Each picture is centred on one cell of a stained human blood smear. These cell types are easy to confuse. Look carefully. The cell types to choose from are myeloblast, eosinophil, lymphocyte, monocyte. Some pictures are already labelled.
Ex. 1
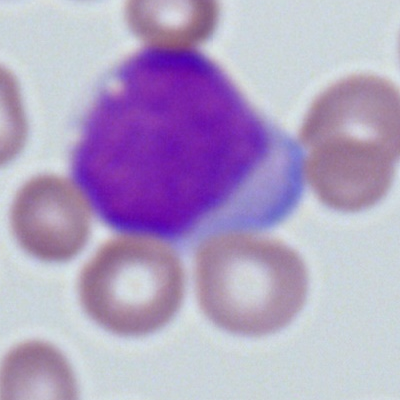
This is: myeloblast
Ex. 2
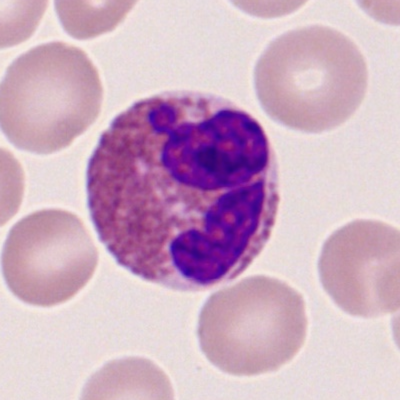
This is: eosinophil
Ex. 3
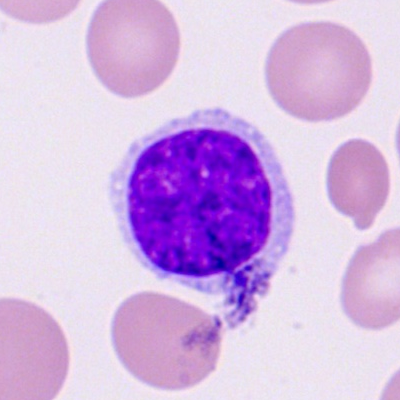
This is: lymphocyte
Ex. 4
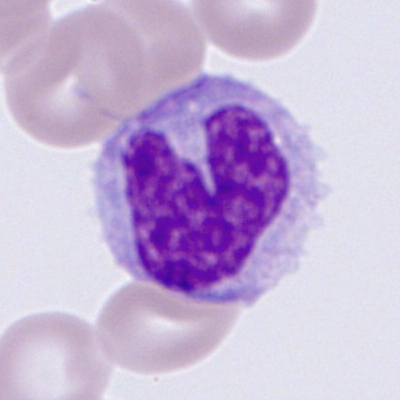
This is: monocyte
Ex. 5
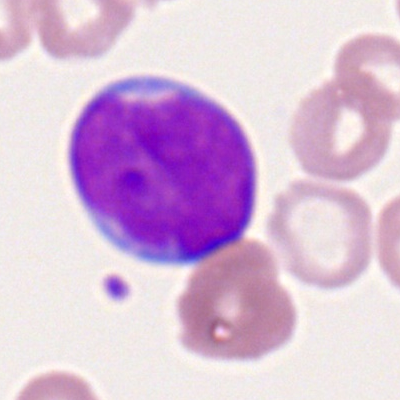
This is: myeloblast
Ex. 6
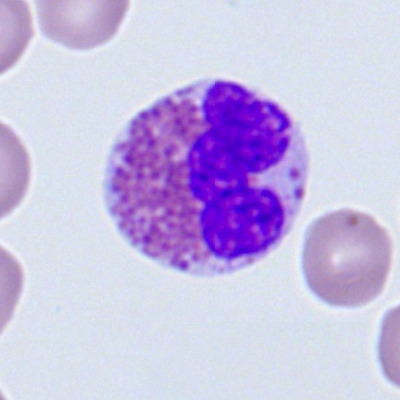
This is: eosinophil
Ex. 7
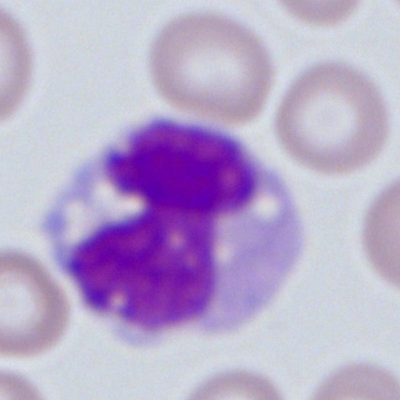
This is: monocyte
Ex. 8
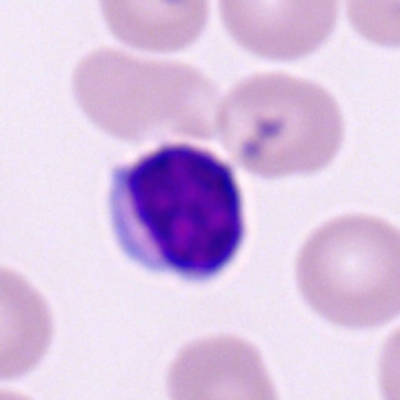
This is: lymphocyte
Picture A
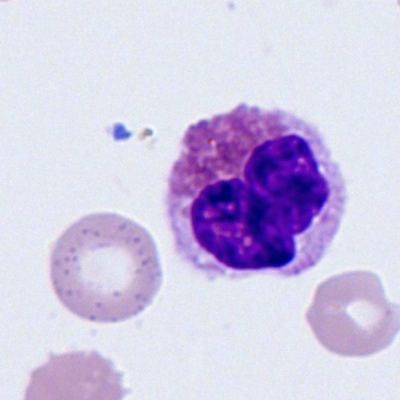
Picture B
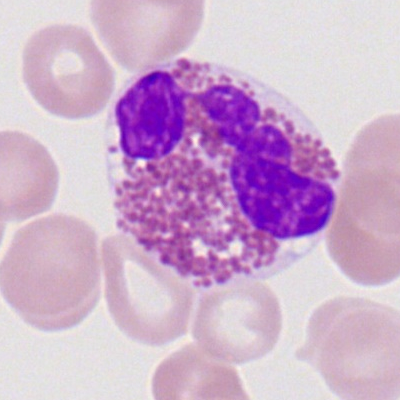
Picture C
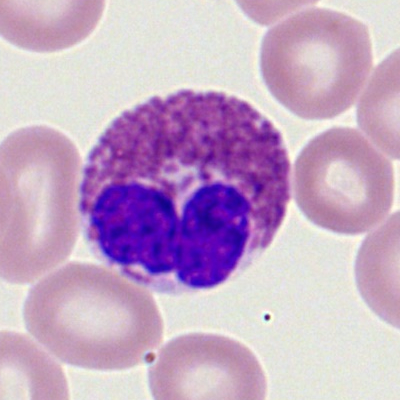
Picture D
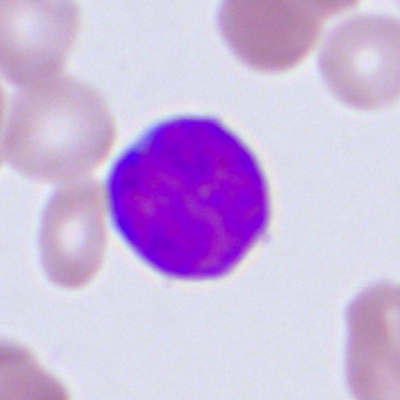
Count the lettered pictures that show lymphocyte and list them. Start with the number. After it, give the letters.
0, none of them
